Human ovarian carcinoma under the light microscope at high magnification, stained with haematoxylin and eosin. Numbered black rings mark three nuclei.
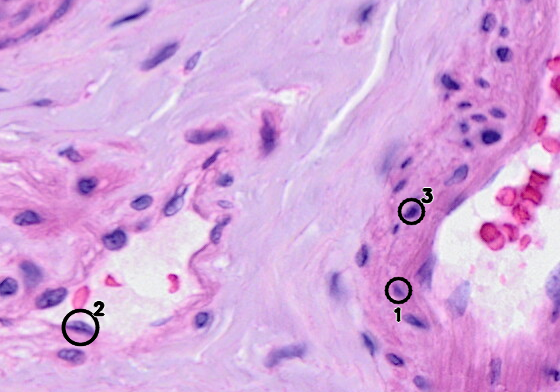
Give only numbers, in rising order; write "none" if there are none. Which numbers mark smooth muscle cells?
1, 3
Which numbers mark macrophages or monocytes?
none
